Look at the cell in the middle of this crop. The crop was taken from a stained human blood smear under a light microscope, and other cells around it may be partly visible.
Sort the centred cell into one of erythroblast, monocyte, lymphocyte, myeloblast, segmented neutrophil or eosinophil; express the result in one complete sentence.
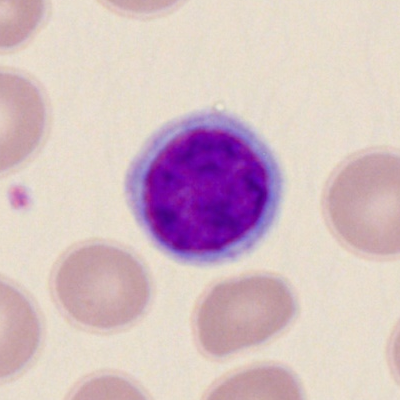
In the middle of this smear crop, the cell is a lymphocyte.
